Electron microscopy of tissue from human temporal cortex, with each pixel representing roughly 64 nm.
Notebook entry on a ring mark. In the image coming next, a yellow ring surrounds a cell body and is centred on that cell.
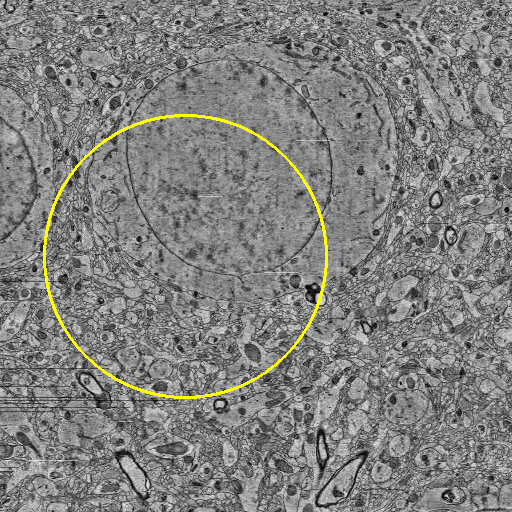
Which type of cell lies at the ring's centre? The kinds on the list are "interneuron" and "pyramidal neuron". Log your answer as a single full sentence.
Centred in the yellow ring is a pyramidal neuron, the cell recorded for this image.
